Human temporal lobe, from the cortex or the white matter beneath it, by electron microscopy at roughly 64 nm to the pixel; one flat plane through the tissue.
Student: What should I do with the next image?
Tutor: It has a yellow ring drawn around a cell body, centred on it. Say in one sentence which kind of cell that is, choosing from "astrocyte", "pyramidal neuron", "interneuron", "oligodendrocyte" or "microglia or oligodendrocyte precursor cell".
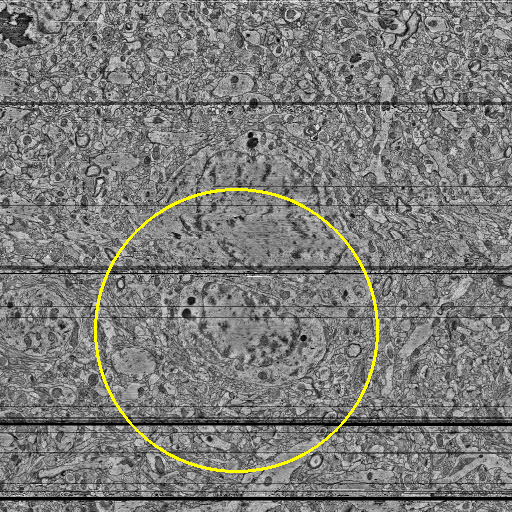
The ring's centre is occupied by an interneuron.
